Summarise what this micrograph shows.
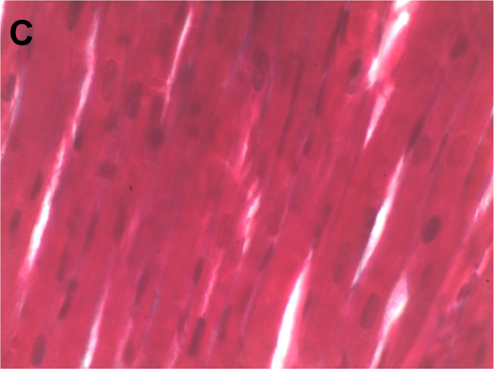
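Heart muscle cells cut lengthwise, running as parallel red-stained fibres. Oval dark nuclei sit within the fibres, and narrow pale clefts separate them without visible bands of collagen.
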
